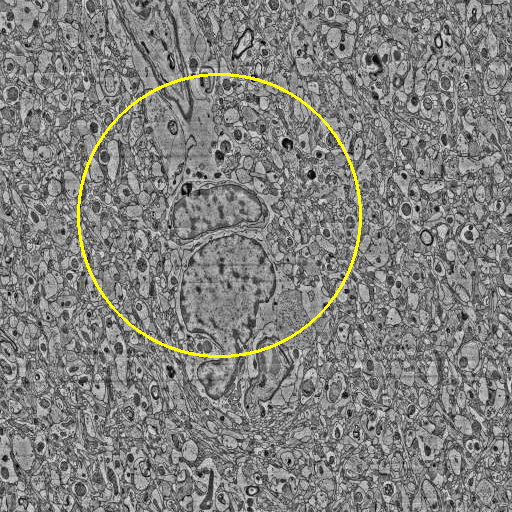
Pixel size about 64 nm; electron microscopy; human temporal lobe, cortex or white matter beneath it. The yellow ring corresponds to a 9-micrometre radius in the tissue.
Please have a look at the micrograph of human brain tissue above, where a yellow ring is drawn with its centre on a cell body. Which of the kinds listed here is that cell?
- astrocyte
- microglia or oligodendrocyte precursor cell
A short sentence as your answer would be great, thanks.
At the centre of the ring sits a microglial cell or oligodendrocyte precursor cell.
